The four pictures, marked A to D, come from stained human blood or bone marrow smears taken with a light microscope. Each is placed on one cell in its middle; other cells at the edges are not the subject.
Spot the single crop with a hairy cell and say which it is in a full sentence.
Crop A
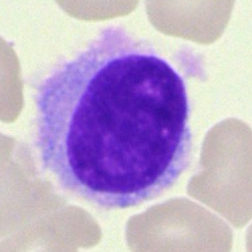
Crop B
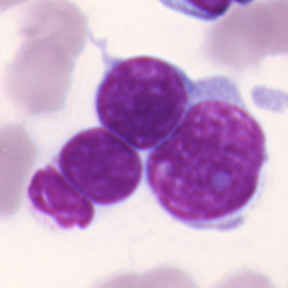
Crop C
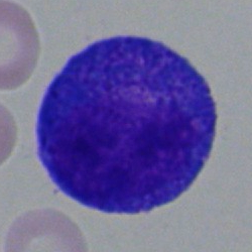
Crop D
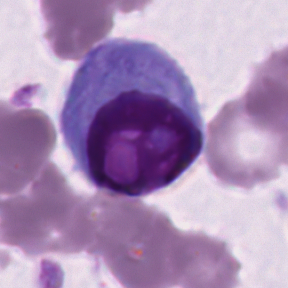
It is in crop A that a hairy cell is shown.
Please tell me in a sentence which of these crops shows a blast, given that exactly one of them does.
It is in crop B, among all the crops, that a blast is present.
